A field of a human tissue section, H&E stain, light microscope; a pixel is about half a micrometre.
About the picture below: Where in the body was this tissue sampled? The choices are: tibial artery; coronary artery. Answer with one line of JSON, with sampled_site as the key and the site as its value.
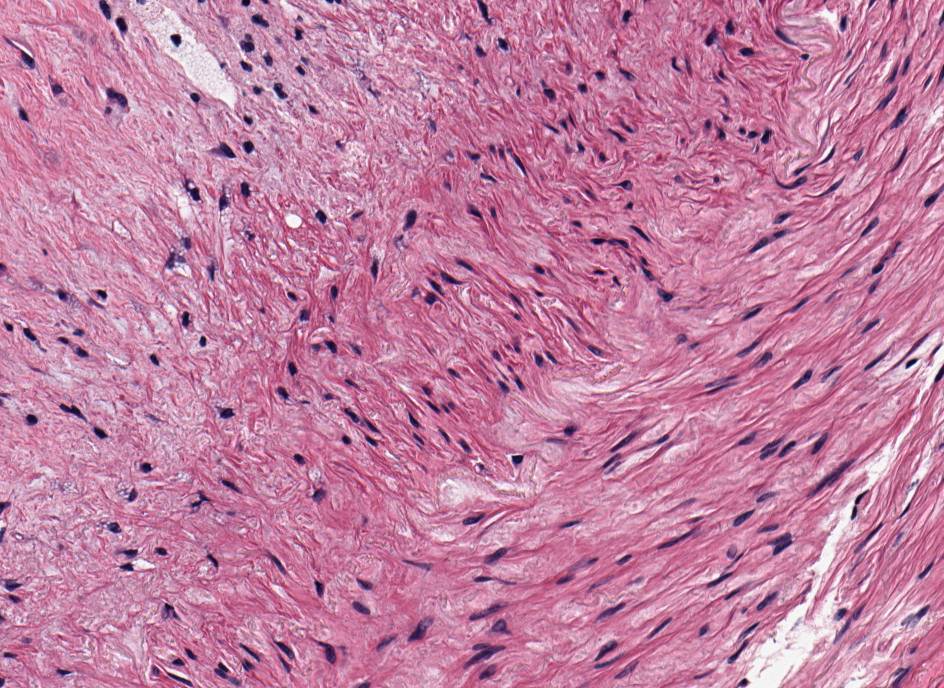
{"sampled_site": "coronary artery"}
